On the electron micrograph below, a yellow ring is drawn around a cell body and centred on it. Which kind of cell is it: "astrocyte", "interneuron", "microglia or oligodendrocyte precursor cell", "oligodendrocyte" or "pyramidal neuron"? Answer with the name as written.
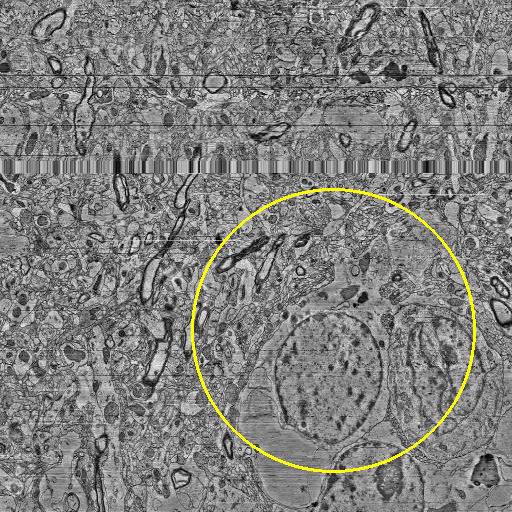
astrocyte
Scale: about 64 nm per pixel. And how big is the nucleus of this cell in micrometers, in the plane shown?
In this plane, roughly 9 by 7 micrometres.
